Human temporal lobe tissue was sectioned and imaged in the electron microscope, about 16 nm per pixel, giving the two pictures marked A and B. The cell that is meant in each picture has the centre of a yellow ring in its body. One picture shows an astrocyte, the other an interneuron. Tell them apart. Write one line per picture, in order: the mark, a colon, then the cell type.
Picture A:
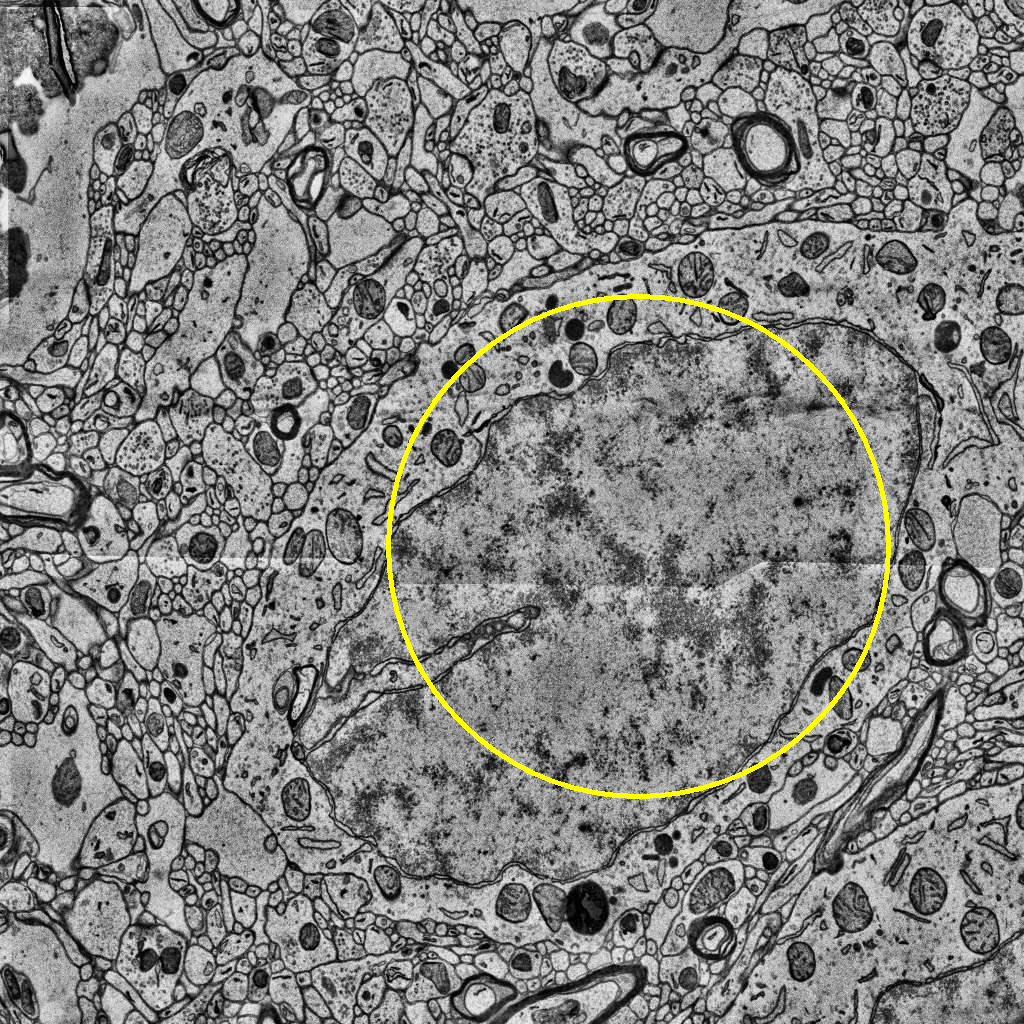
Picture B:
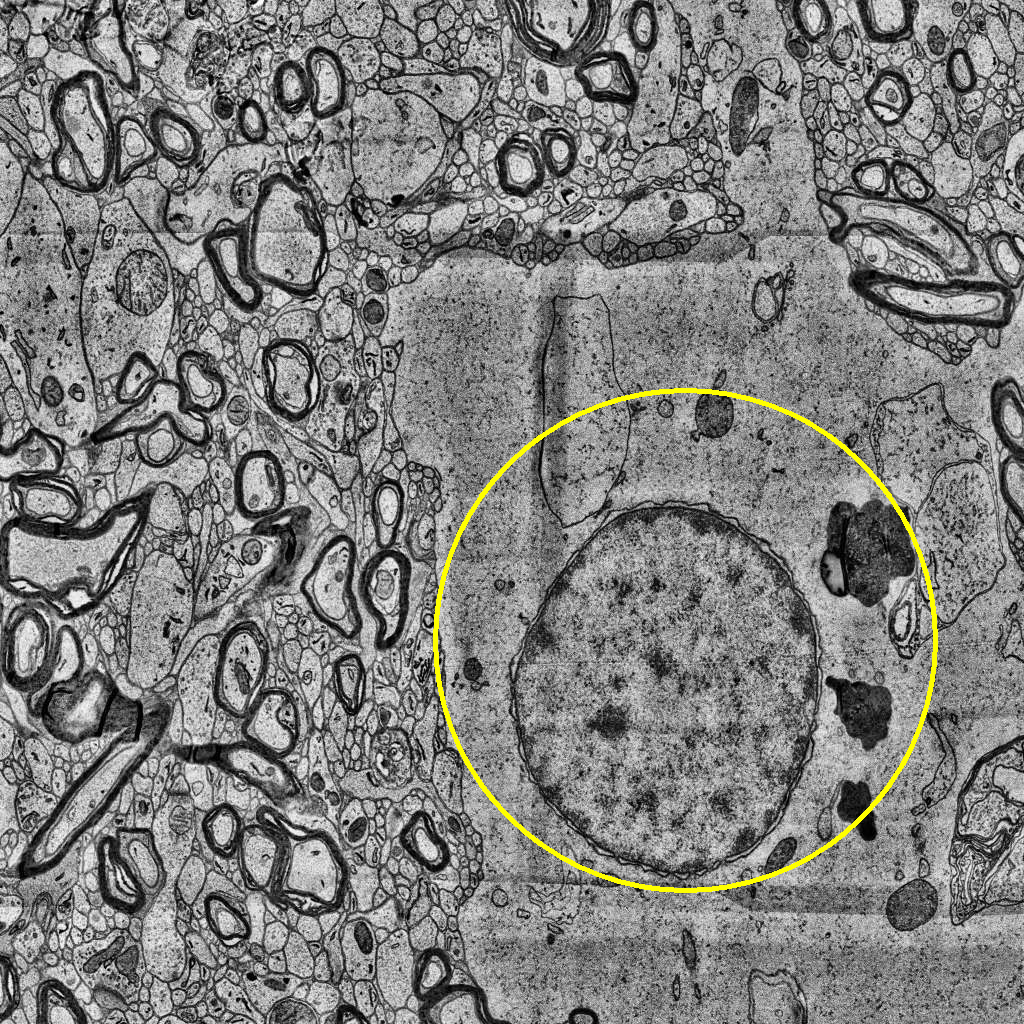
A: interneuron
B: astrocyte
